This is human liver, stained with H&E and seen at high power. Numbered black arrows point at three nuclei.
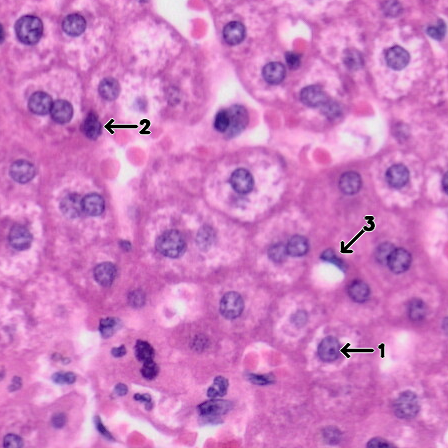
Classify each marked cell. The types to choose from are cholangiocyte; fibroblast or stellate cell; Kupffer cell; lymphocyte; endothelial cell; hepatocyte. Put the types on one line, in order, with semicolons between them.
hepatocyte; fibroblast or stellate cell; endothelial cell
